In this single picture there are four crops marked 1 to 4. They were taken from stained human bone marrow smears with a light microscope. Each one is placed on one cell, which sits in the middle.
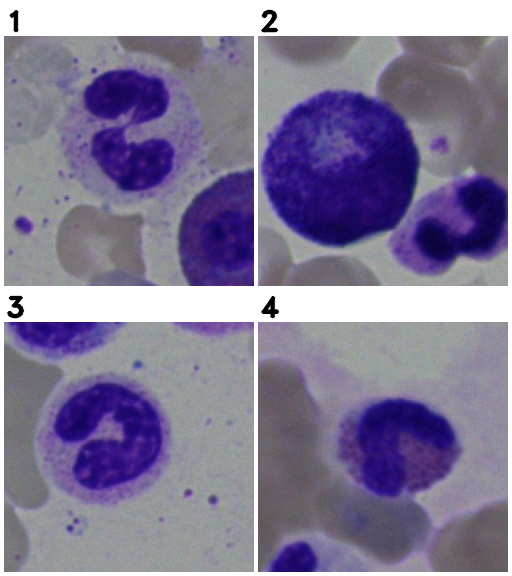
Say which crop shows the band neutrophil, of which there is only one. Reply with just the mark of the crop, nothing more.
3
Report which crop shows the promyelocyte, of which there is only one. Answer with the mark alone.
2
